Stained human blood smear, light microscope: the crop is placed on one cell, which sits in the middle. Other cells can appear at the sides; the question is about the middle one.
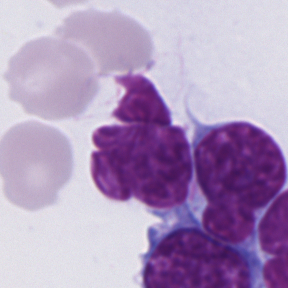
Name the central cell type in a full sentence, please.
The center cell of this crop is a myeloblast.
